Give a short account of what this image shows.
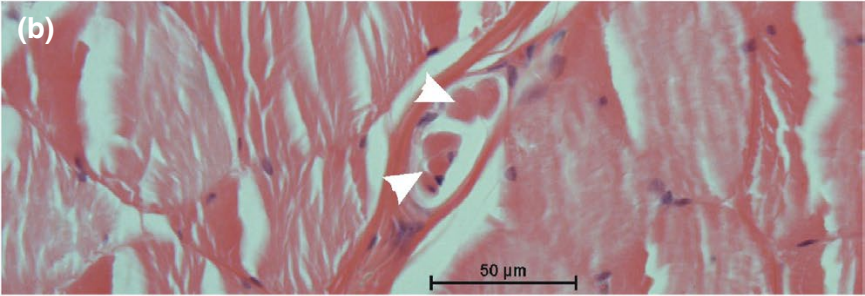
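Skeletal muscle with a small muscle spindle running obliquely between large pink extrafusal fibers. Dark elongated nuclei lie along the capsule and in the thin strands of connective tissue leading to it. The extrafusal fibers are cut obliquely, show cracks from processing, and carry flattened dark nuclei at their edges.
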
